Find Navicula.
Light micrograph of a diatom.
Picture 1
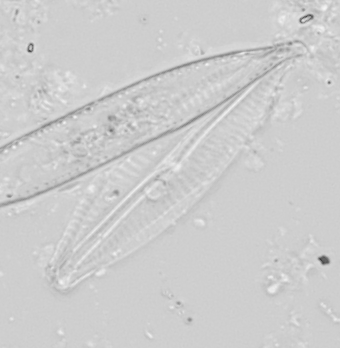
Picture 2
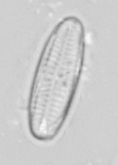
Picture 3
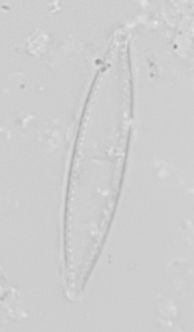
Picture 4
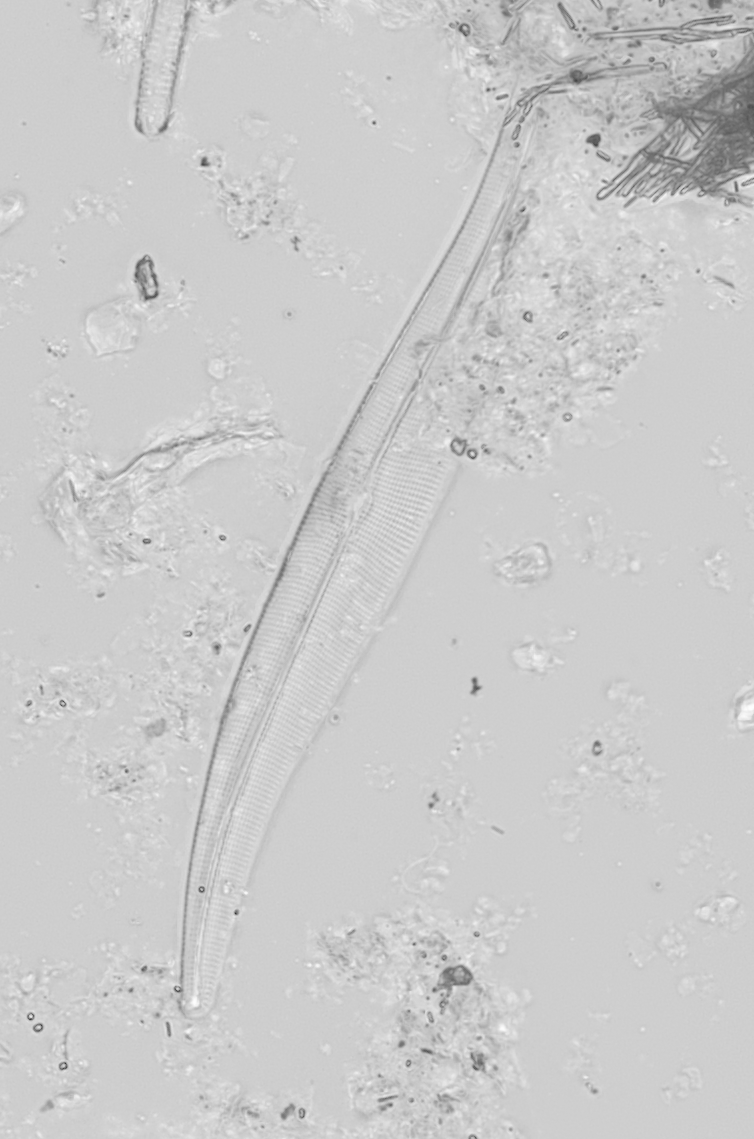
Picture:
1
